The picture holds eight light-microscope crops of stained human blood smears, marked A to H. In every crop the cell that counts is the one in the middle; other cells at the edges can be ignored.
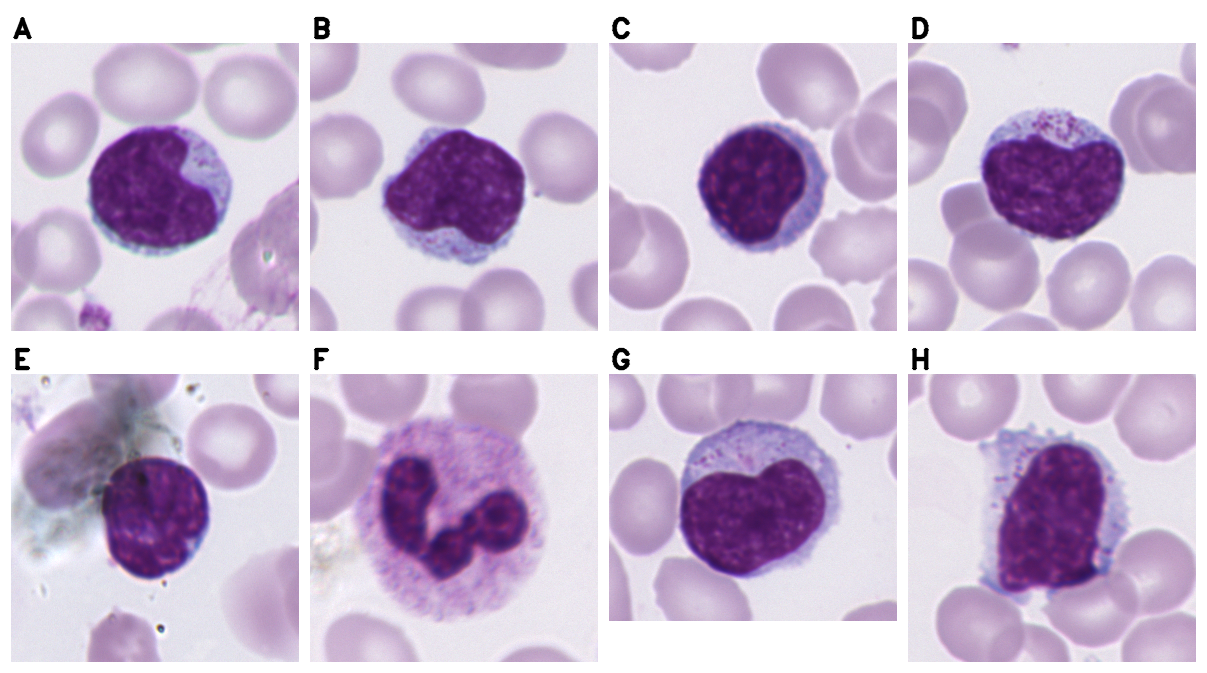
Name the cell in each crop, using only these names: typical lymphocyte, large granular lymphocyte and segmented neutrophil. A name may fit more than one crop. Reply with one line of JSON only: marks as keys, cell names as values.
{"A": "large granular lymphocyte", "B": "typical lymphocyte", "C": "typical lymphocyte", "D": "large granular lymphocyte", "E": "typical lymphocyte", "F": "segmented neutrophil", "G": "large granular lymphocyte", "H": "large granular lymphocyte"}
